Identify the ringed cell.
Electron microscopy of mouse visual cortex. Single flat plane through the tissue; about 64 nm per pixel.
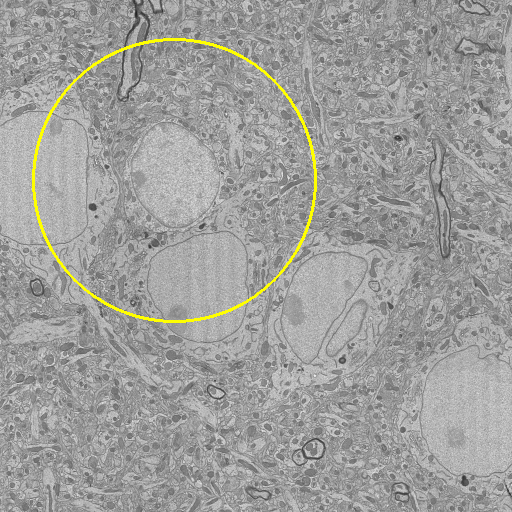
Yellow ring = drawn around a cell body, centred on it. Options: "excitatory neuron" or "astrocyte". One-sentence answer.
What the ring is centred on is an astrocyte.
